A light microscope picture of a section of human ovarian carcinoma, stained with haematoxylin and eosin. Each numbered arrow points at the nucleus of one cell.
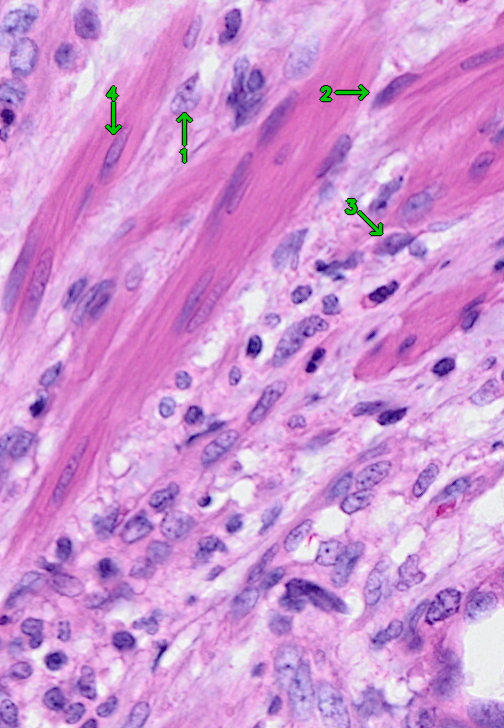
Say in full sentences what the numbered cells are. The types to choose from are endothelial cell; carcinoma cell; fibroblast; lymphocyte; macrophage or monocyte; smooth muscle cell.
Cell 1 is a fibroblast, cell 2 is a smooth muscle cell, cell 3 is a fibroblast and cell 4 is a smooth muscle cell.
